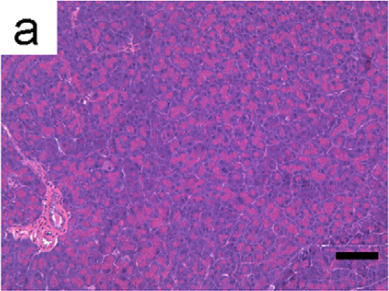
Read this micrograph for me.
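Exocrine pancreatic tissue made of tightly packed acini fills the field. Each acinus is formed by pyramidal acinar cells whose bases carry round purple nuclei and whose apical cytoplasm stains pink, giving a mottled pink-and-purple pattern. The acini abut one another with barely any connective tissue between them, so lobule borders are hard to make out. At the lower left a small duct or vessel with a pink wall and a thin rim of connective tissue interrupts the acinar field. No widened spaces, pale fluid or clusters of inflammatory cells are seen.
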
